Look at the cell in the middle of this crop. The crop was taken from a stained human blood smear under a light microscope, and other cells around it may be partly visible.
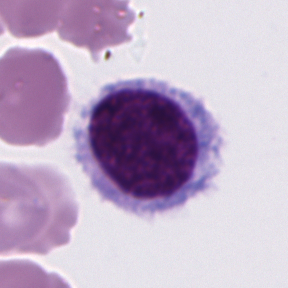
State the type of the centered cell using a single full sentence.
In the center of this field lies a hairy cell.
